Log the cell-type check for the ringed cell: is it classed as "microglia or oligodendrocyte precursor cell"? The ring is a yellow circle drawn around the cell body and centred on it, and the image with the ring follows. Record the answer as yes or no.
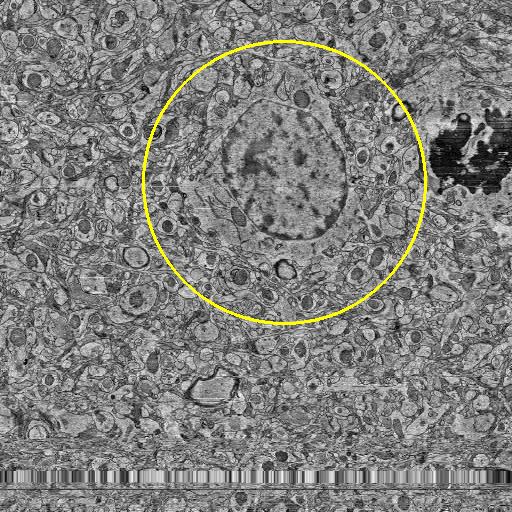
No, it is classed as another type.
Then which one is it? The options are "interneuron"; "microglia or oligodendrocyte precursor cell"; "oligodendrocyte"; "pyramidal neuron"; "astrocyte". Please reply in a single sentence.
It is an astrocyte at the centre of the ring.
